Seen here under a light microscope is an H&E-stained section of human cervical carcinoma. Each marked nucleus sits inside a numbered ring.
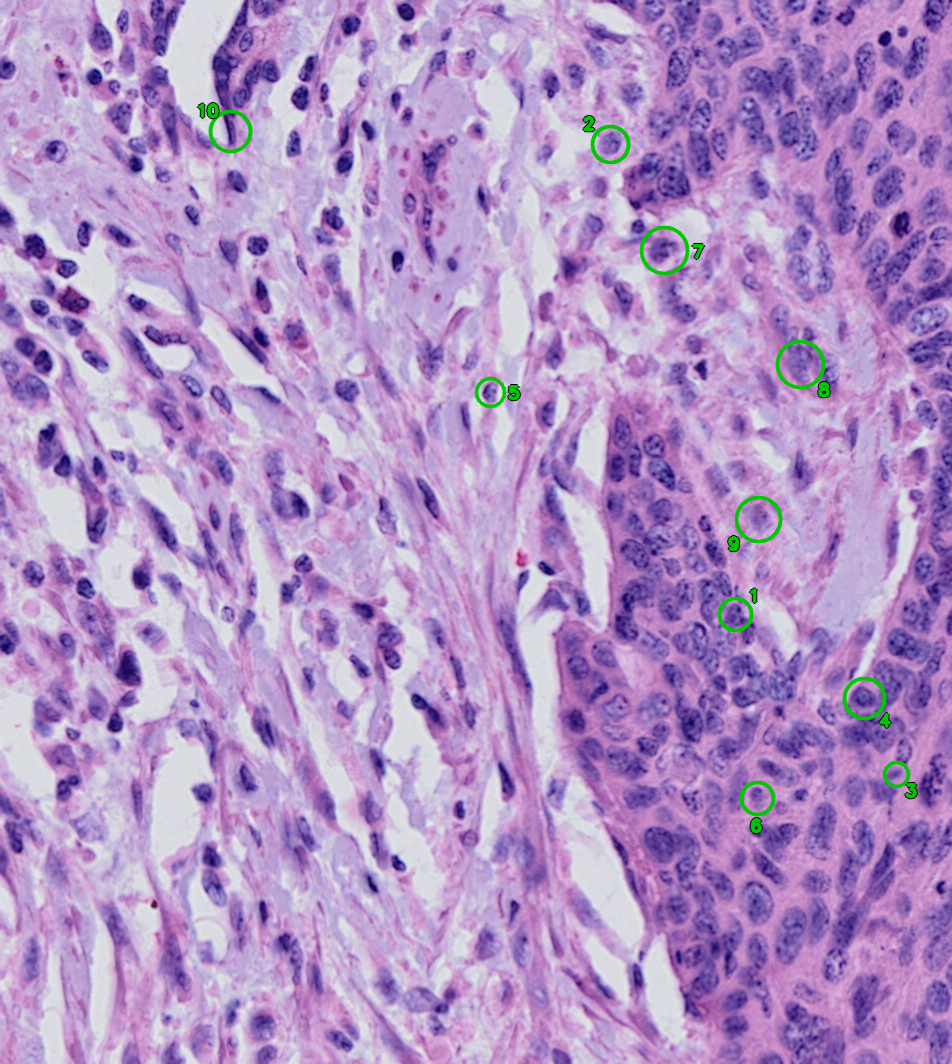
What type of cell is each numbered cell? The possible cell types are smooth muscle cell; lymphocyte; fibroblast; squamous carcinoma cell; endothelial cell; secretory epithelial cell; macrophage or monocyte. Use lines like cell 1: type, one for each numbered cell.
cell 1: squamous carcinoma cell
cell 2: macrophage or monocyte
cell 3: squamous carcinoma cell
cell 4: squamous carcinoma cell
cell 5: lymphocyte
cell 6: squamous carcinoma cell
cell 7: macrophage or monocyte
cell 8: endothelial cell
cell 9: fibroblast
cell 10: endothelial cell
